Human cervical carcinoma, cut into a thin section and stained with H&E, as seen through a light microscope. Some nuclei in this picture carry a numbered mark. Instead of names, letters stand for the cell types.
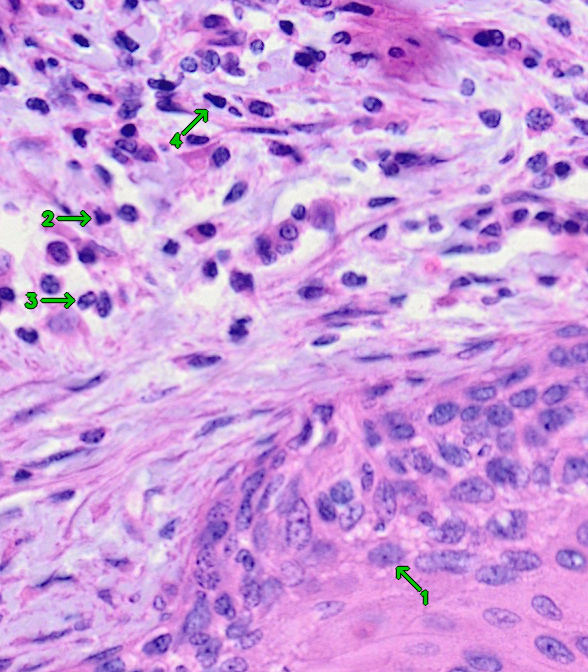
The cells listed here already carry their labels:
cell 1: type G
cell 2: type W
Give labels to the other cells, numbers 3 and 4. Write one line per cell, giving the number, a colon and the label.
3: type W
4: type W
